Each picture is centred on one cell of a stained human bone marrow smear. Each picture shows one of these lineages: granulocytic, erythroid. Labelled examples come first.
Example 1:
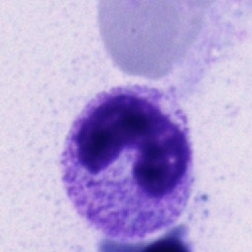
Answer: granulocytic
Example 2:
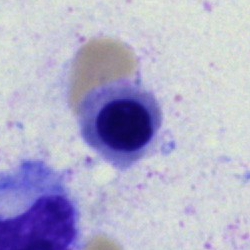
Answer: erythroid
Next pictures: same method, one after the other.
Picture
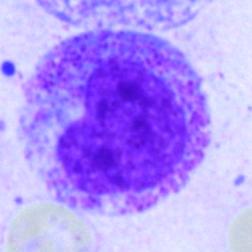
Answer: granulocytic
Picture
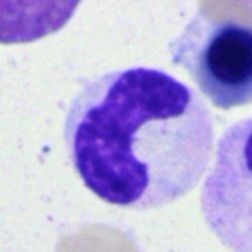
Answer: granulocytic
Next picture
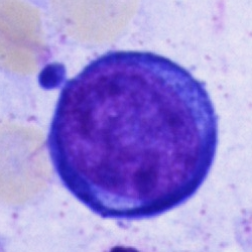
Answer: erythroid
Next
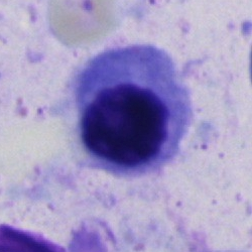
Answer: erythroid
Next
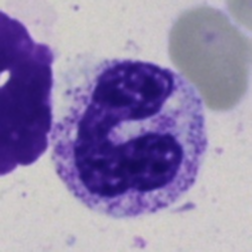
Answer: granulocytic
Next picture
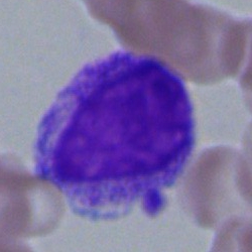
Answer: granulocytic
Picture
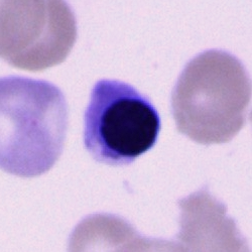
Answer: erythroid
